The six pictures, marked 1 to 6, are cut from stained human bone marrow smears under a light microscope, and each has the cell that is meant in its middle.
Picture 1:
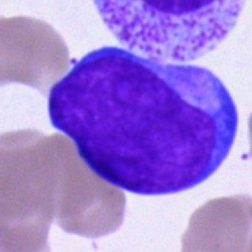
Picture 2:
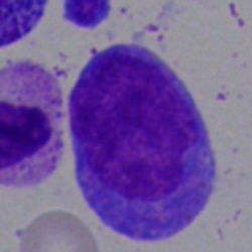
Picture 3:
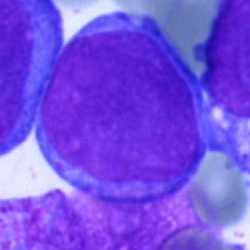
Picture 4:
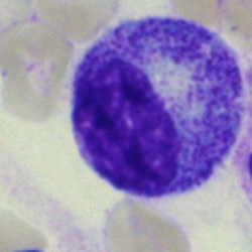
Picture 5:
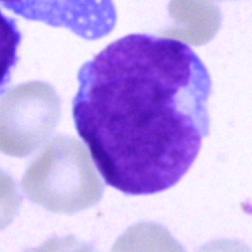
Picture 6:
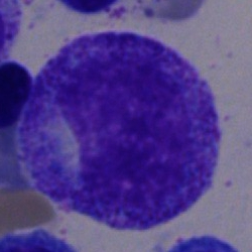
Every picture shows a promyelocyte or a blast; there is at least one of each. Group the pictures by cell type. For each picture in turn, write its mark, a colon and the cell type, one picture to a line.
1: blast
2: promyelocyte
3: blast
4: promyelocyte
5: blast
6: promyelocyte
